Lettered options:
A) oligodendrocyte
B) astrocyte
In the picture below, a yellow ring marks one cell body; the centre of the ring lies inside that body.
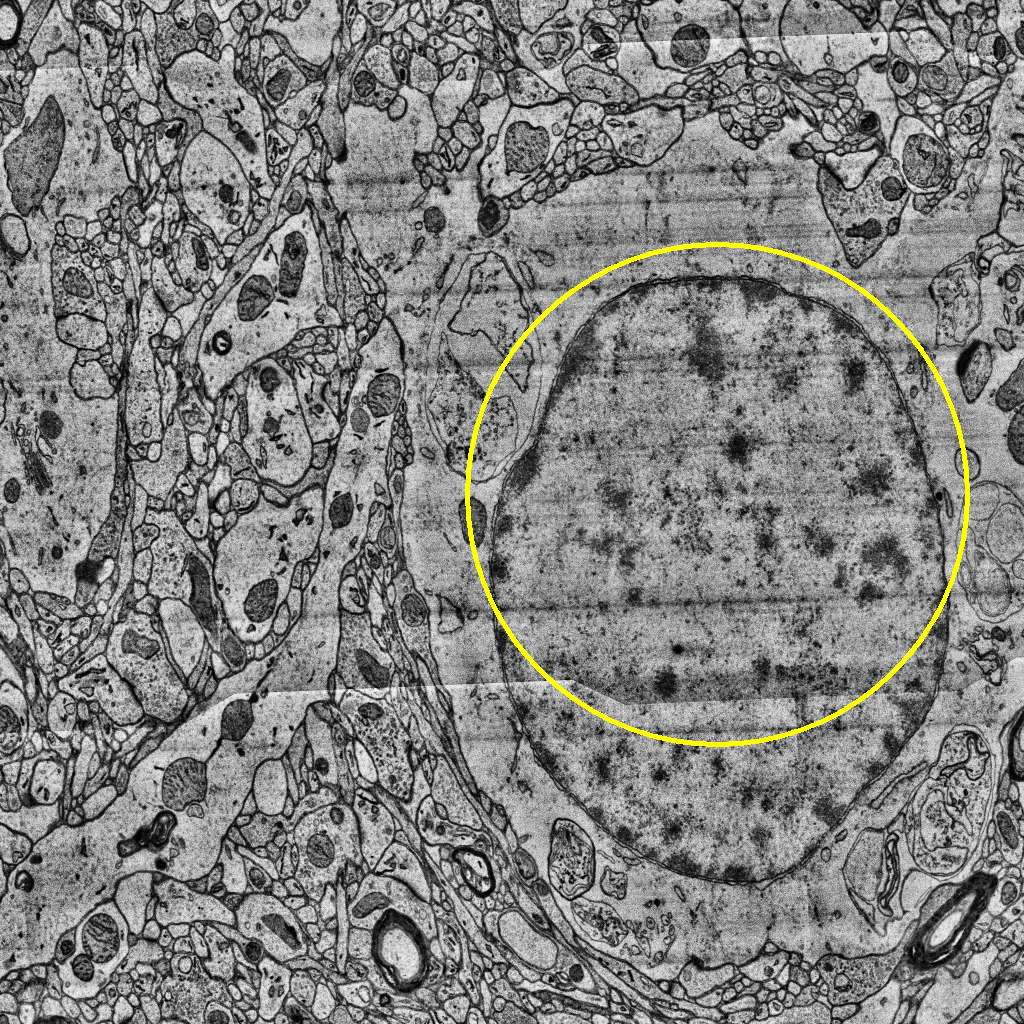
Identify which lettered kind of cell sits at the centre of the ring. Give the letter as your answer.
B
